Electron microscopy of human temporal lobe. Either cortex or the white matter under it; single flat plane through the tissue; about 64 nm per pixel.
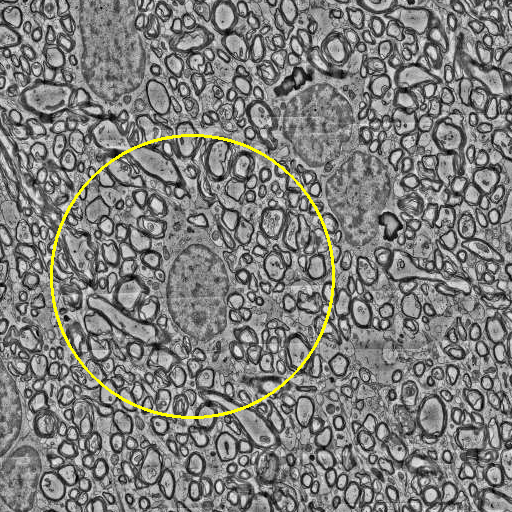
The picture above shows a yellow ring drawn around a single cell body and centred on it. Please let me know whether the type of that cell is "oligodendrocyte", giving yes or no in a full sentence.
Yes, that type fits the cell at the centre of the ring above.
